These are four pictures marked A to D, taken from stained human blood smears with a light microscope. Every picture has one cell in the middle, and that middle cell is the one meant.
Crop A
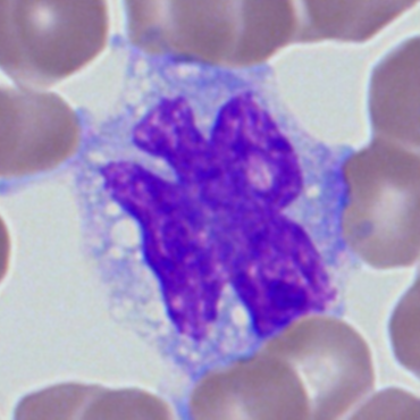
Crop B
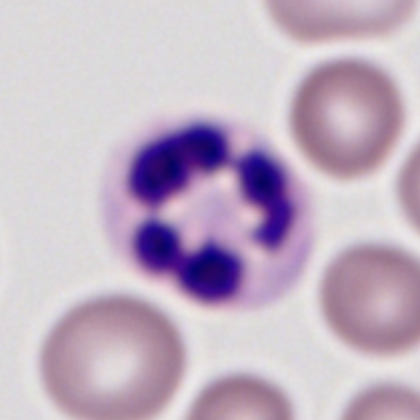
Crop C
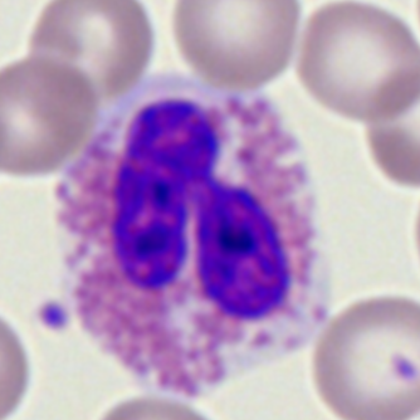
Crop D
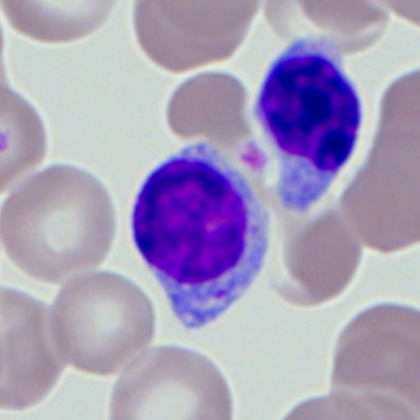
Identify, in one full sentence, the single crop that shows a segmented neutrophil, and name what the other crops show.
Crop B represents a segmented neutrophil, while crop A is a monocyte, crop C is an eosinophil and crop D is a lymphocyte.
